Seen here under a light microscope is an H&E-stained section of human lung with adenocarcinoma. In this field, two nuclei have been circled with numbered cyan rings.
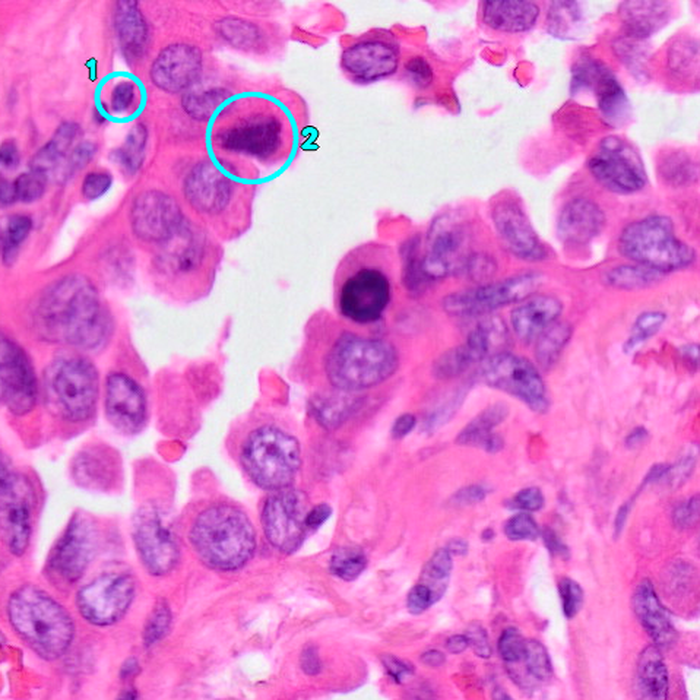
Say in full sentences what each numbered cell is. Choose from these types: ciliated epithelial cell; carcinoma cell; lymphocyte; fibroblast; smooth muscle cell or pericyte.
Cell 1 is a lymphocyte. Cell 2 is a carcinoma cell.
